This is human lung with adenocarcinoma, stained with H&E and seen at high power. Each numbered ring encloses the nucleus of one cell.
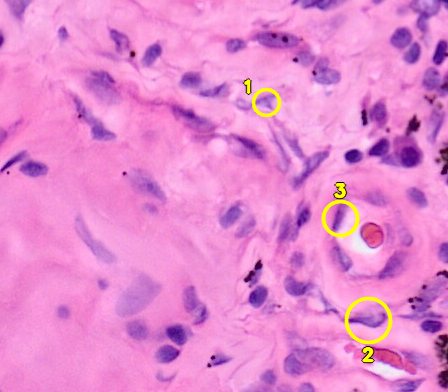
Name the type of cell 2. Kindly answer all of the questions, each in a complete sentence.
The cell assigned the number 2 is a fibroblast.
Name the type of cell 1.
The cell that goes by number 1 is a fibroblast.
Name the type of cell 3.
The numbered cell 3 in this field is an endothelial cell.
